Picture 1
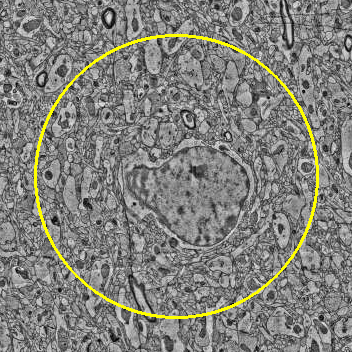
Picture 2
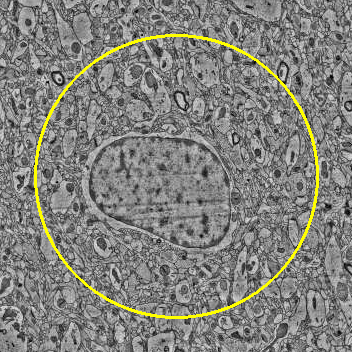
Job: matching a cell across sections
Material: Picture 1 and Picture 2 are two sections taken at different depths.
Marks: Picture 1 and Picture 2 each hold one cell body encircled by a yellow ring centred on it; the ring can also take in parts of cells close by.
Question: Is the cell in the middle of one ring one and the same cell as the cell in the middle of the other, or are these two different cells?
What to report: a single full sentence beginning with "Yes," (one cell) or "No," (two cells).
Yes, one cell appears twice, once in each ring.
